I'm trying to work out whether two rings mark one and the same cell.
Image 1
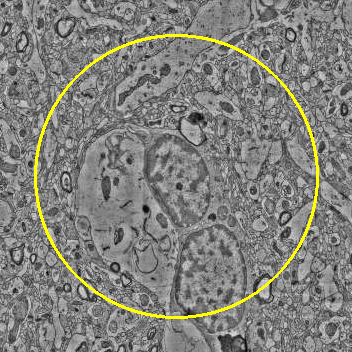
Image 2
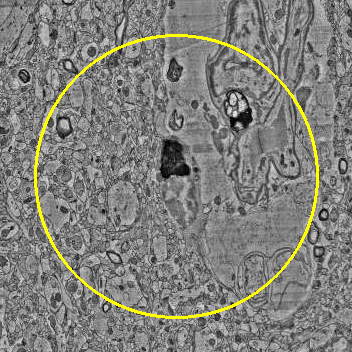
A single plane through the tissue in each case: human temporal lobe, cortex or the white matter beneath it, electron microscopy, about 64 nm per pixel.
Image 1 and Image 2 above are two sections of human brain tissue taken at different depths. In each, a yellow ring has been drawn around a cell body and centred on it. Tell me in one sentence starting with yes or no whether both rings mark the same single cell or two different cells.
No, one ring marks one cell and the other ring marks another.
